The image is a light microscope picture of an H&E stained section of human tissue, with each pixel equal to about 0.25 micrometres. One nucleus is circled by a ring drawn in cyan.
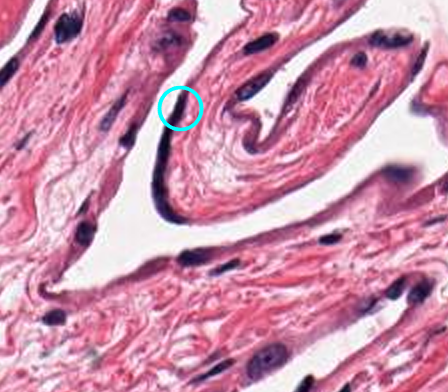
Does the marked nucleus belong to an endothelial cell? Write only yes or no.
yes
